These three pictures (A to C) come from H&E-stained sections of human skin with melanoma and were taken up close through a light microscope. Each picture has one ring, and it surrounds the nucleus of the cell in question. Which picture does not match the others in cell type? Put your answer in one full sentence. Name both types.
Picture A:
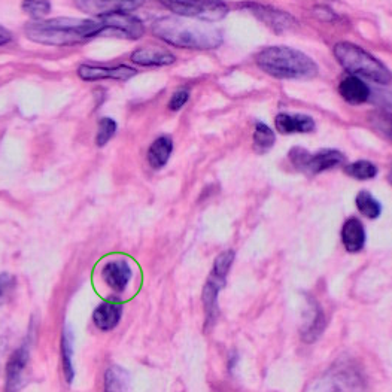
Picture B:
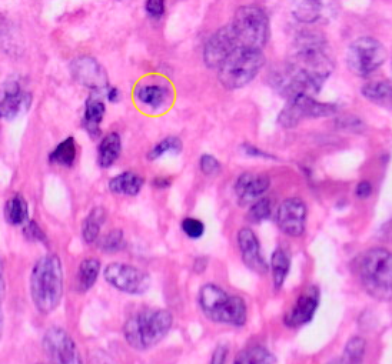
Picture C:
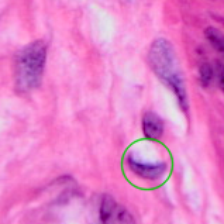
Unlike the rest, which show lymphocytes, picture C shows a “fibroblast or myofibroblast”.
